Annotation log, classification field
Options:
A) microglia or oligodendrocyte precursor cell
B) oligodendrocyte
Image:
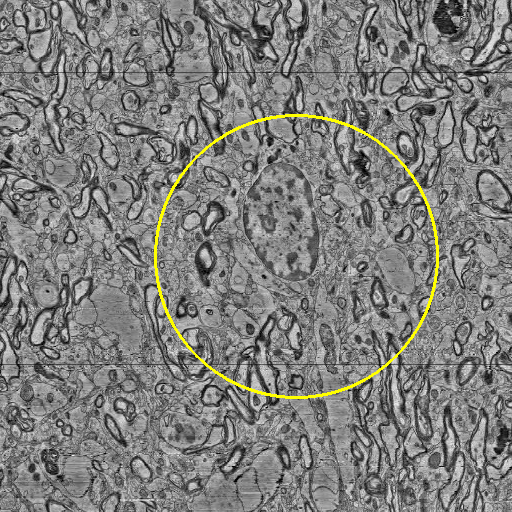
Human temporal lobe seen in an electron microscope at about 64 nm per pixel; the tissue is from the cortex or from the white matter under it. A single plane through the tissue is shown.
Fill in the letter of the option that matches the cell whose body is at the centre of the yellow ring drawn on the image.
A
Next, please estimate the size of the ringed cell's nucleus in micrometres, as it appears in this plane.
About 8 by 5 micrometres, the nucleus being clearly longer than it is wide in this plane.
